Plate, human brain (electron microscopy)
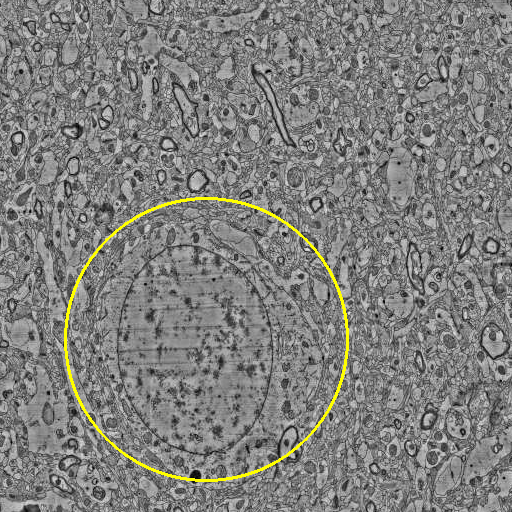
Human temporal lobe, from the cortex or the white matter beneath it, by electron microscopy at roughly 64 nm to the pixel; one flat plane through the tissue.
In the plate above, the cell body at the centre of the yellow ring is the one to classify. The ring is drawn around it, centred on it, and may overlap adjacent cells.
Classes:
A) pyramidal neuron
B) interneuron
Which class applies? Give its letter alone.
A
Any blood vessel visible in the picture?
No, a blood vessel is absent from this picture.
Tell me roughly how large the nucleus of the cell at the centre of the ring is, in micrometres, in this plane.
Roughly 13 by 10 micrometres is the size of the nucleus in this plane.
